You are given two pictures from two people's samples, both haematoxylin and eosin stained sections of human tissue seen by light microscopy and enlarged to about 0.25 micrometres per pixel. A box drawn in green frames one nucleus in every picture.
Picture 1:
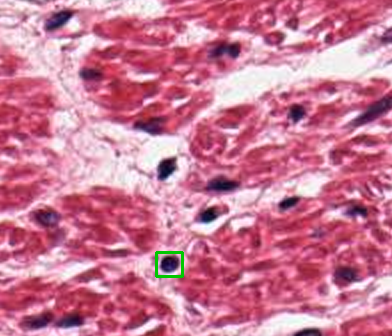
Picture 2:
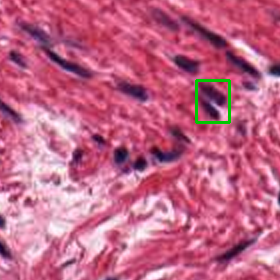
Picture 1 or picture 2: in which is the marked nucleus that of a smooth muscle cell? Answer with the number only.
2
